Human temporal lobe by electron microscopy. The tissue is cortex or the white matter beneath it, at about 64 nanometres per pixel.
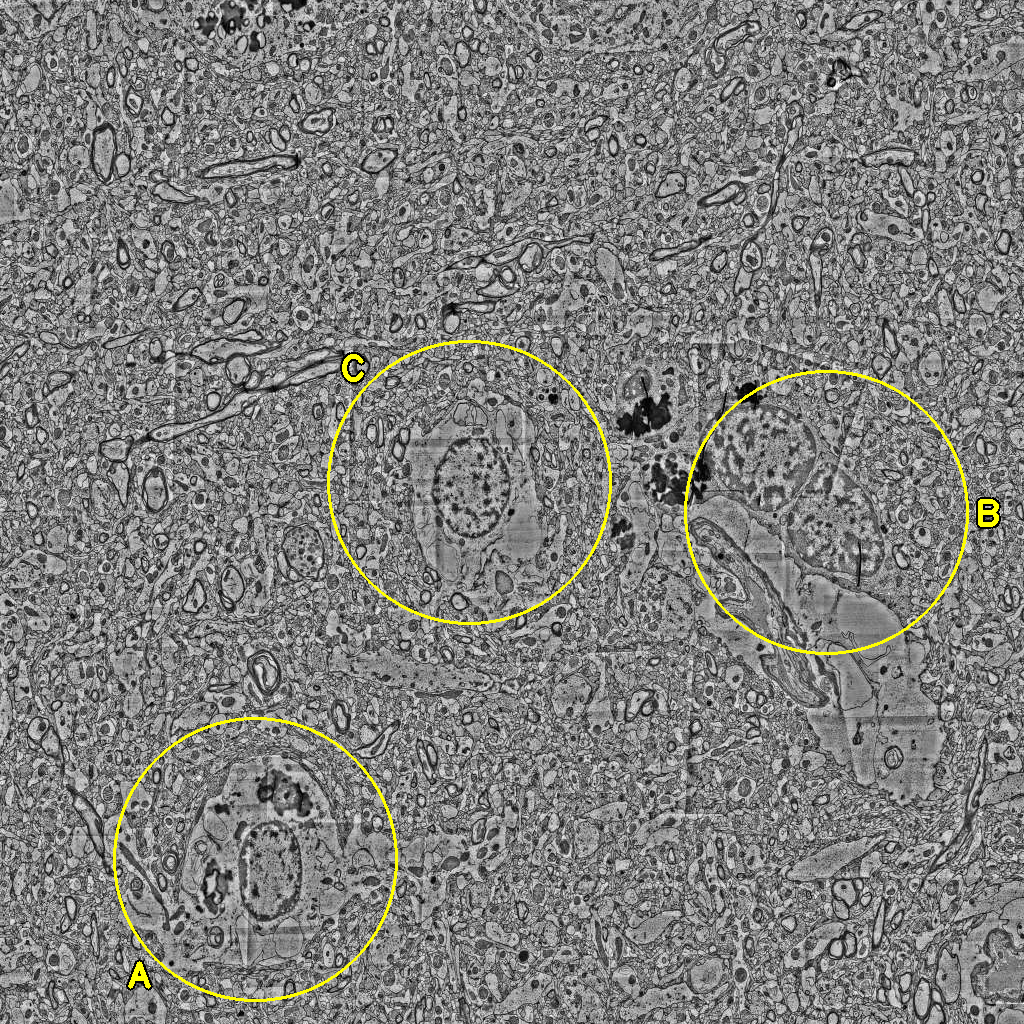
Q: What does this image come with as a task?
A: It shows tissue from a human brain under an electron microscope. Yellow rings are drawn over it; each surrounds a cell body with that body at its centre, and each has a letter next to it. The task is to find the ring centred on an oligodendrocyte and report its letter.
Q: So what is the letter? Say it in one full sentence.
It is B, the letter of the ring centred on the cell asked for in the picture.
